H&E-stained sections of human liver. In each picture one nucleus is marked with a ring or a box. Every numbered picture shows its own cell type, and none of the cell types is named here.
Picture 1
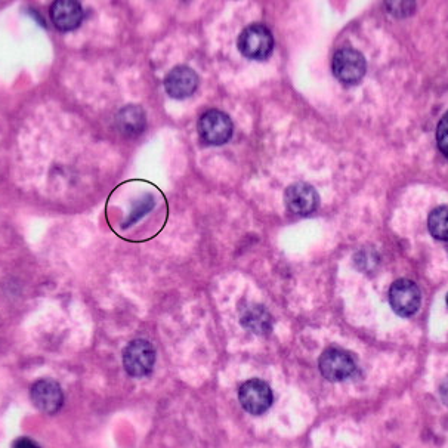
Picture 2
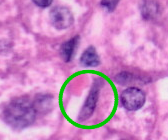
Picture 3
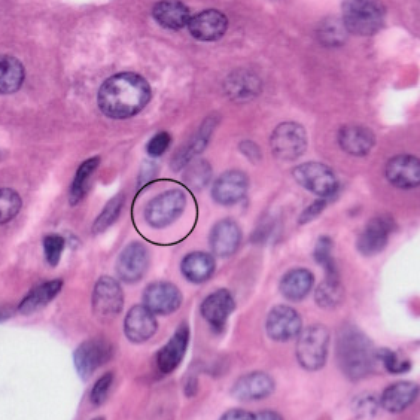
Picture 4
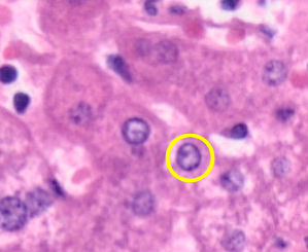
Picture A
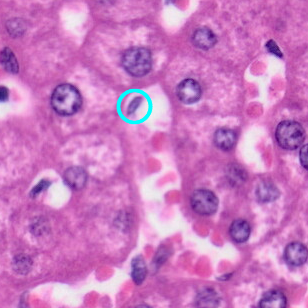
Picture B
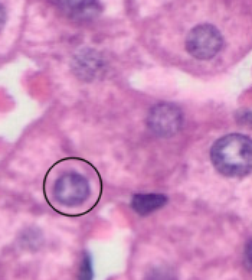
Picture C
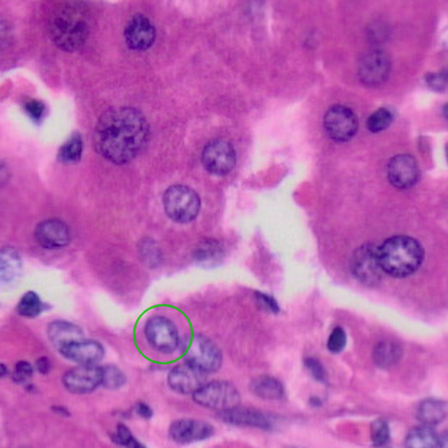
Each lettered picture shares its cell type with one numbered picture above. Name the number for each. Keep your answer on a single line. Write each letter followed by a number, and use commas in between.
A 1, B 4, C 3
